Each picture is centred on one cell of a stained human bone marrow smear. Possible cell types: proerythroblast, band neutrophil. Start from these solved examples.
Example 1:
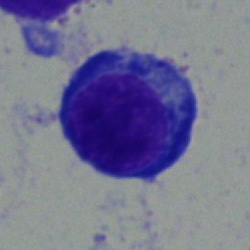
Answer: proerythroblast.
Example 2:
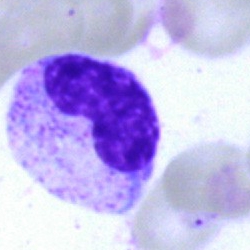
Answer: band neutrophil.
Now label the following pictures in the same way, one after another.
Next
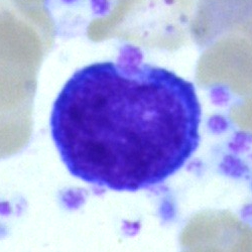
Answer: proerythroblast.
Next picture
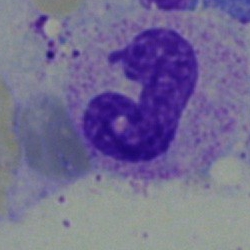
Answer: band neutrophil.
